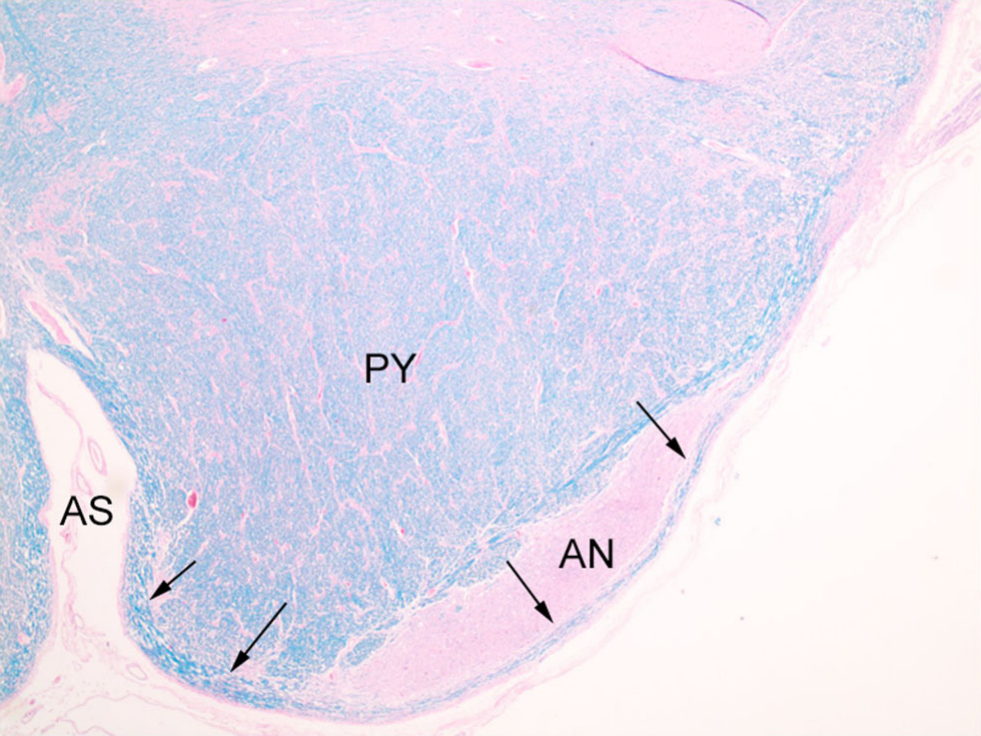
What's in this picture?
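This is a low-power section of the ventral surface of the medulla. The pyramid is a large field of blue-stained myelinated fibers, and the arcuate nucleus is a pale pink, poorly myelinated gray-matter strip lying on the pyramid's outer surface. A thin, more densely blue band of fibers runs along the surface beneath the delicate pink meninges, covering the pyramid and the arcuate nucleus, and it continues around into the anterior sulcus at the left.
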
